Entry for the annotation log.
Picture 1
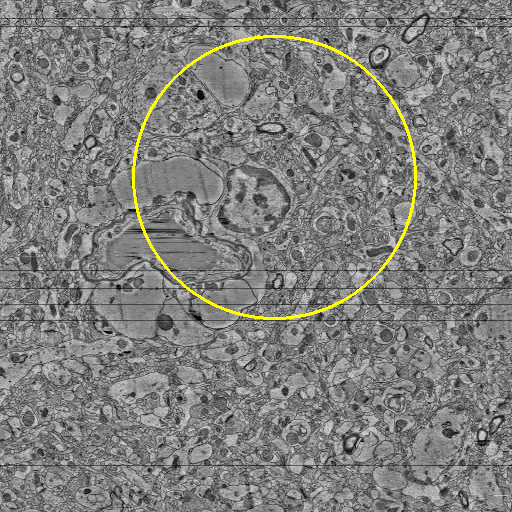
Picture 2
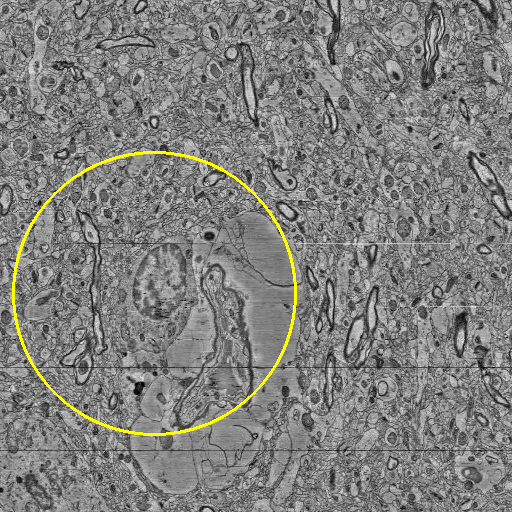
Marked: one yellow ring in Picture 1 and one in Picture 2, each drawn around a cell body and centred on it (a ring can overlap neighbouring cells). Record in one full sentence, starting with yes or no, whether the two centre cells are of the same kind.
No, the two cells are of two kinds.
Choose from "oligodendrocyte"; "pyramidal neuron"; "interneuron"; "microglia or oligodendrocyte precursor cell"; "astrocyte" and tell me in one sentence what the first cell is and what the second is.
What the first ring is centred on is a microglial cell or oligodendrocyte precursor cell; what the second ring is centred on is an oligodendrocyte.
